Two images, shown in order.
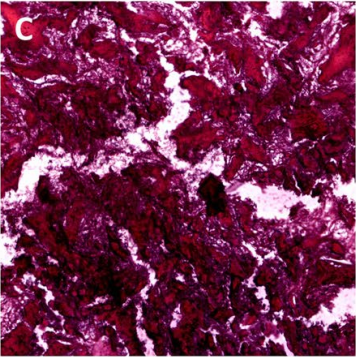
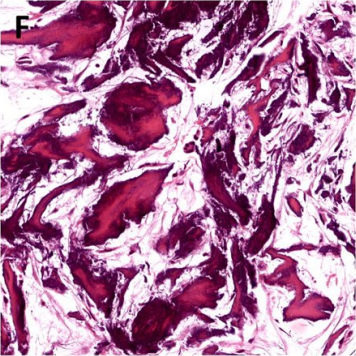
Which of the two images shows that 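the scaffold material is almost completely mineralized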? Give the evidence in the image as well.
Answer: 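The first image. Second image: discrete scaffold pieces, pink in their centres with purple rims, separated by wide pale spaces. First image: the field is almost entirely dense dark purple-red granular material with only narrow pale gaps.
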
